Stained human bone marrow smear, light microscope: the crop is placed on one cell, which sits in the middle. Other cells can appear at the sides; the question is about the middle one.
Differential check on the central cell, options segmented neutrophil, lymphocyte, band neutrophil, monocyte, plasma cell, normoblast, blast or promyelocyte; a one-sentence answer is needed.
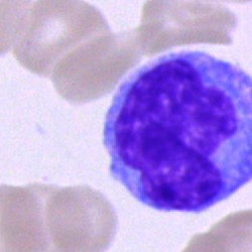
Regarding the central cell, it is a monocyte.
